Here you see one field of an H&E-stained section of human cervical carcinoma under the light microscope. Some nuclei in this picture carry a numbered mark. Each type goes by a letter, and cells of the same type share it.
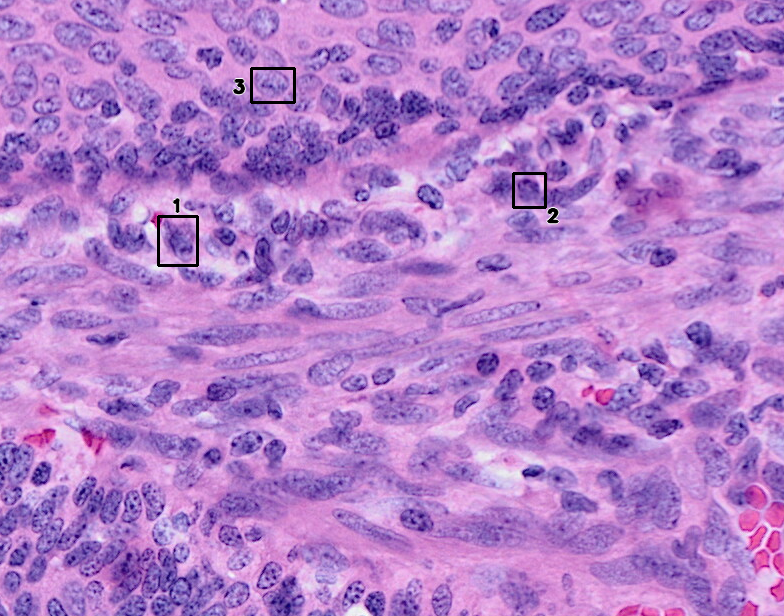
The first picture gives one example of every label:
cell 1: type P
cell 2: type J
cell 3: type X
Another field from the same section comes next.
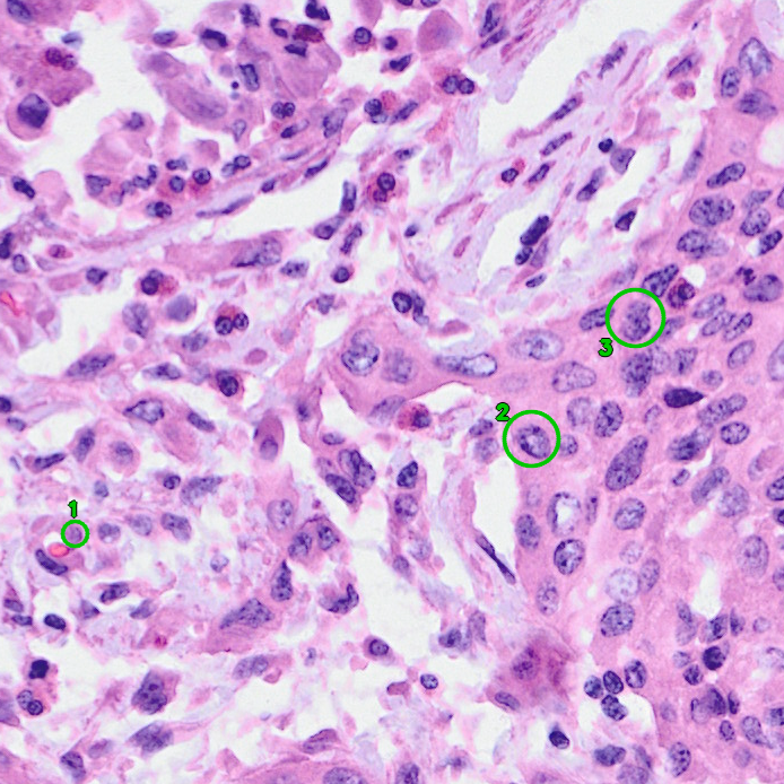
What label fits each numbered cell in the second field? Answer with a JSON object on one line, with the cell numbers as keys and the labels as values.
{"1": "type P", "2": "type X", "3": "type X"}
